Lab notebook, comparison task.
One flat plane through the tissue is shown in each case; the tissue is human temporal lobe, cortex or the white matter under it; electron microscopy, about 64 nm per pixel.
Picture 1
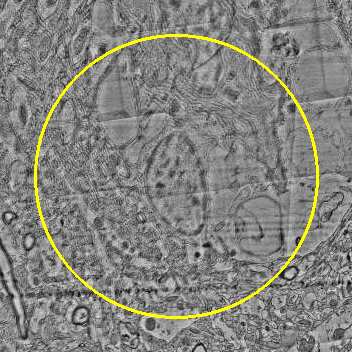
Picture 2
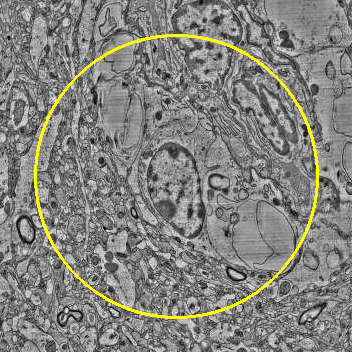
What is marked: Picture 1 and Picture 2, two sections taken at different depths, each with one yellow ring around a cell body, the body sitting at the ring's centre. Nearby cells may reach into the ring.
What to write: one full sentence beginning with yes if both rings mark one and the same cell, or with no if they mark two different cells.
Yes, a single cell is marked twice, once by each yellow ring.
